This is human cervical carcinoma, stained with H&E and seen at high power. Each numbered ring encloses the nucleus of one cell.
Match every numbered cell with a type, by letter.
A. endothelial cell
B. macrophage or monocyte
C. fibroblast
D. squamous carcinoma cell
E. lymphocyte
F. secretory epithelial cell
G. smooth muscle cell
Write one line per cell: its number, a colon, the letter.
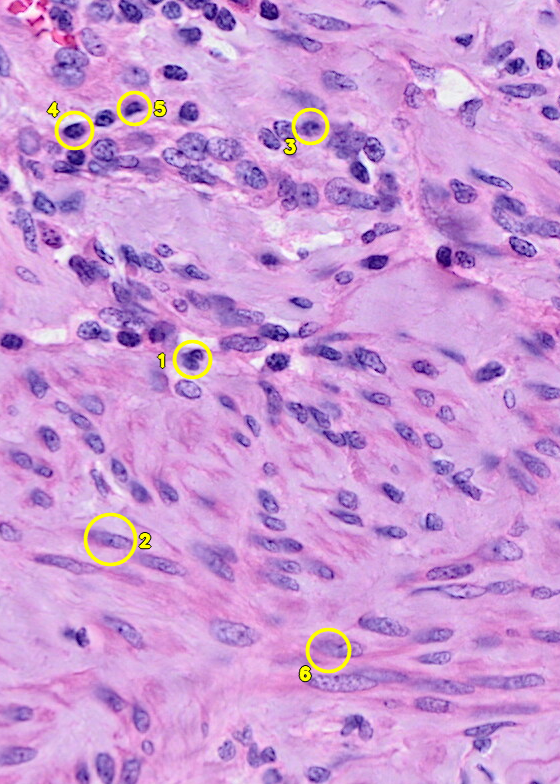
1: E
2: G
3: E
4: E
5: E
6: G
